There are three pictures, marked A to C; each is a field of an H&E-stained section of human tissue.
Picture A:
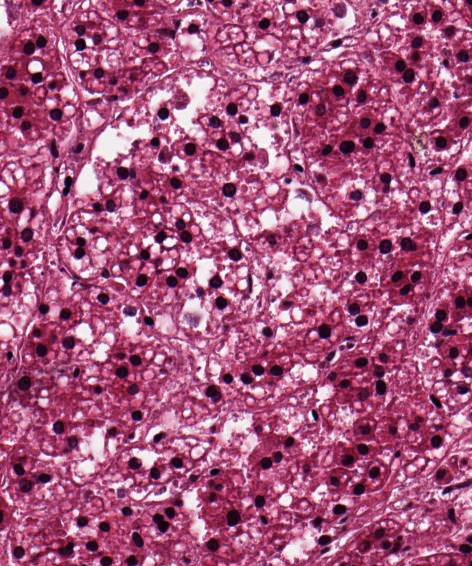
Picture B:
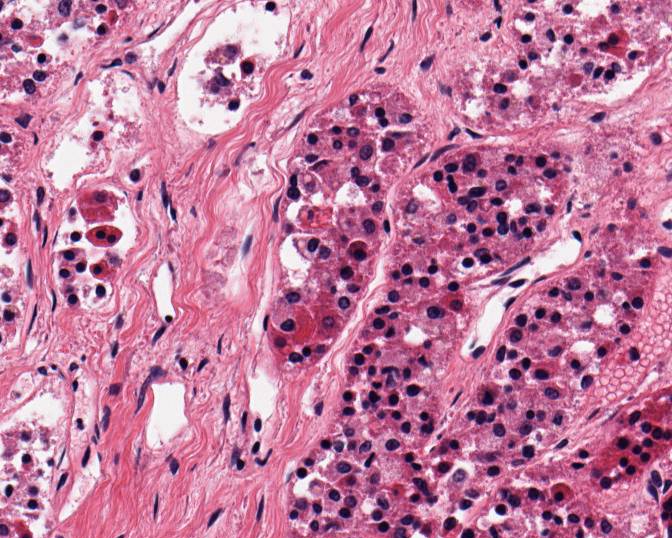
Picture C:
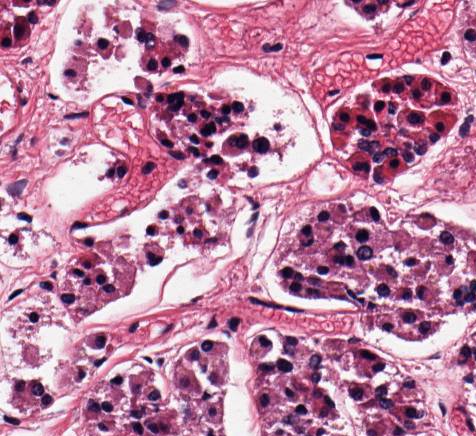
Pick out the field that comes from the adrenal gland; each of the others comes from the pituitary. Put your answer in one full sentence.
Picture A is the field that comes from the adrenal gland.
